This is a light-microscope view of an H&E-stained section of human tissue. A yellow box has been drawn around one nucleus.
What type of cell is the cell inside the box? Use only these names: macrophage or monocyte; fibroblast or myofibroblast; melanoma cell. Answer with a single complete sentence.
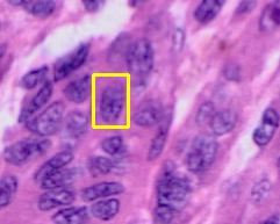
It is as a melanoma cell that the cell inside the box is classified.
